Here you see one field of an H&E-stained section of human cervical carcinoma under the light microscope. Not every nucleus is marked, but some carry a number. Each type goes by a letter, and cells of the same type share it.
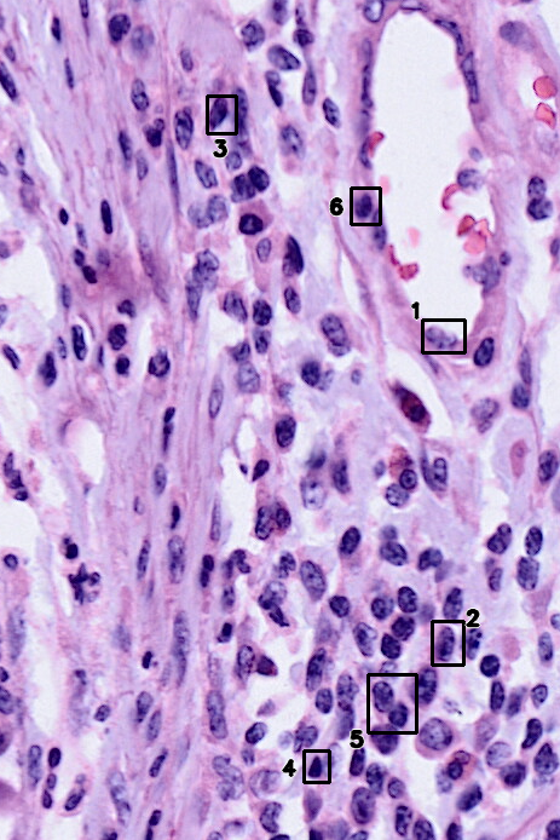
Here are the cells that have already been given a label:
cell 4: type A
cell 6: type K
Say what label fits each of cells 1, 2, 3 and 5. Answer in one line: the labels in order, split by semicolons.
type K; type A; type A; type A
